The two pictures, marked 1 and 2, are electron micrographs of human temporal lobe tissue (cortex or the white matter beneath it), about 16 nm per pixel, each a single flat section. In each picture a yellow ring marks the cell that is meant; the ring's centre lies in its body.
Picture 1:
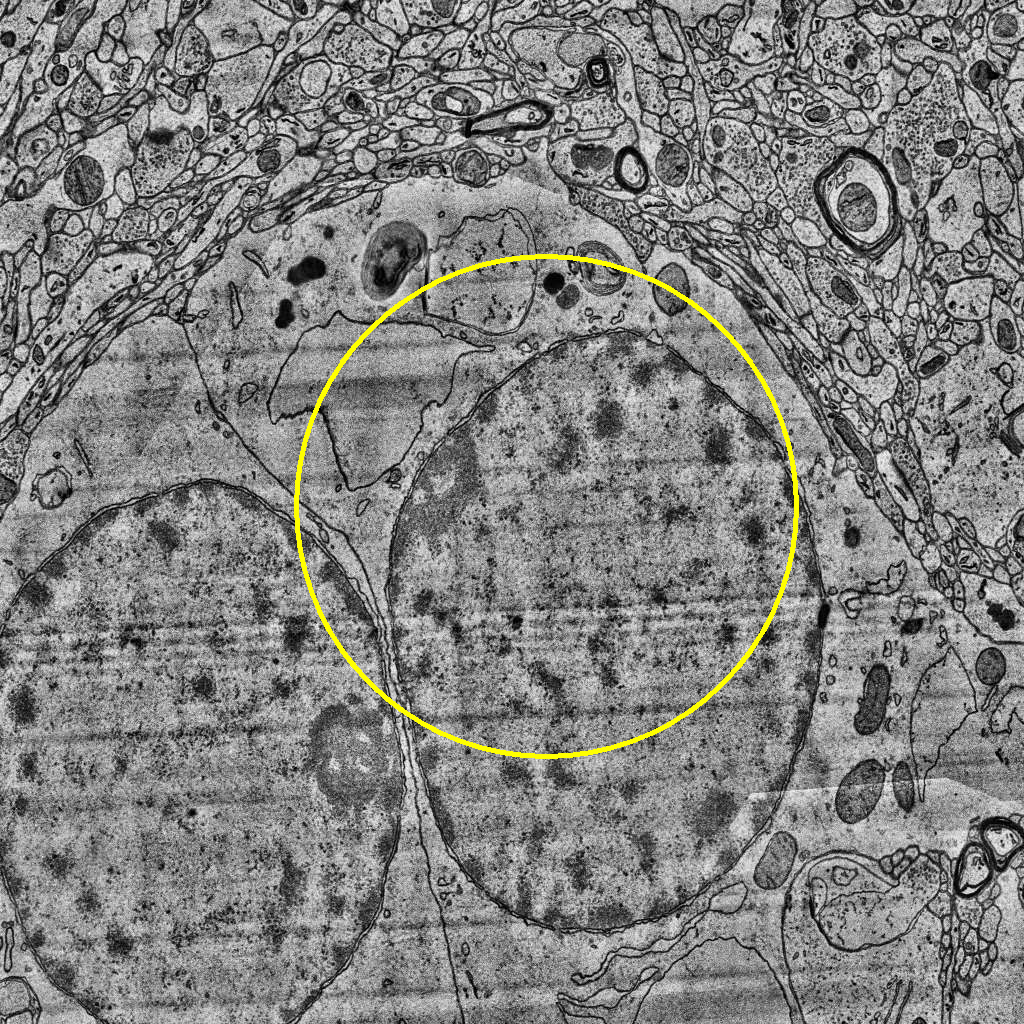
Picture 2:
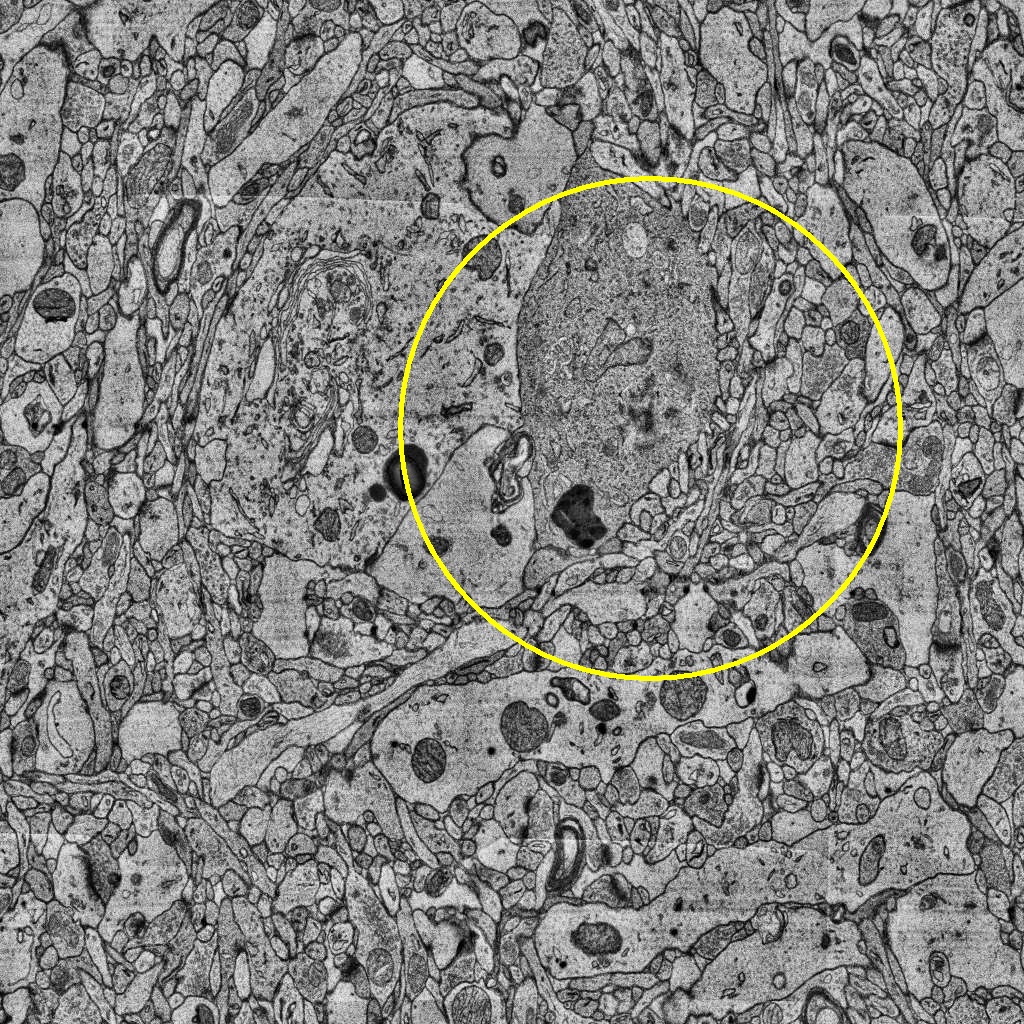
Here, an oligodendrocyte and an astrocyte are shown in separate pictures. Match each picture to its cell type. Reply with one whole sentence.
The cell in picture 1 is an astrocyte, and the one in picture 2 is an oligodendrocyte.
